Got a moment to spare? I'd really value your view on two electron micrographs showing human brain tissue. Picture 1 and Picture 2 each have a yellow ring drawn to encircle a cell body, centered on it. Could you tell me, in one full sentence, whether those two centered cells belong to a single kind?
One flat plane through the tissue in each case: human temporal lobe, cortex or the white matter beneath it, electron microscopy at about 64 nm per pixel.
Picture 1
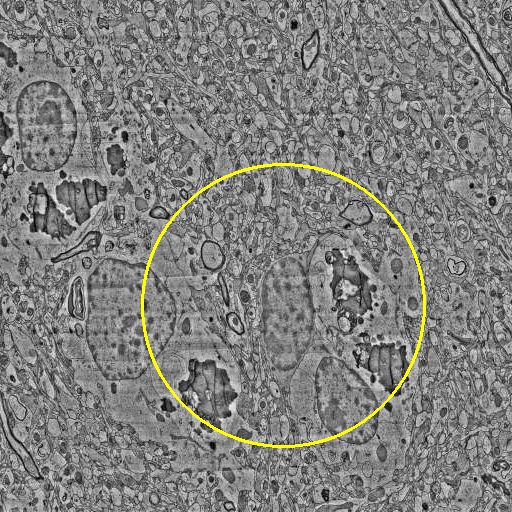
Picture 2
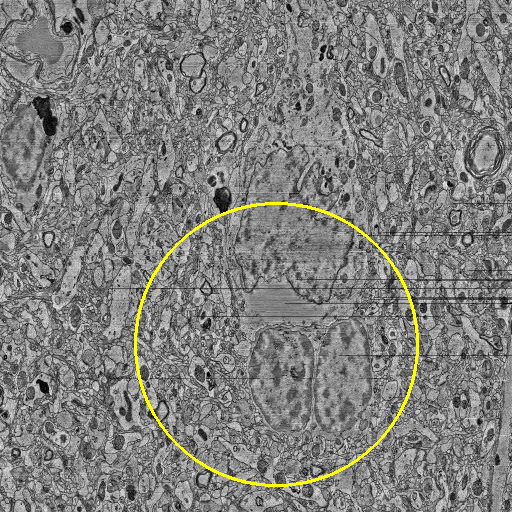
Yes, the two centered cells in Picture 1 and Picture 2 are of a single kind.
